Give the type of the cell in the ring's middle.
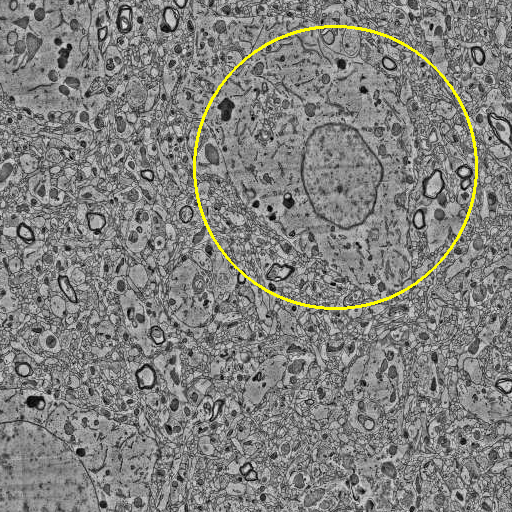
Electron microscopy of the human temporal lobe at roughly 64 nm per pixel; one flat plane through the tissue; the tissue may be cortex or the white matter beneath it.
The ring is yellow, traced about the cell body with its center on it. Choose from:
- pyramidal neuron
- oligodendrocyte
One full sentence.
Here, a pyramidal neuron is the cell lying at the center of the yellow ring.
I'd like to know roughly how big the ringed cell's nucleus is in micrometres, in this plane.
Approximately 7 micrometres long and 5 micrometres wide, in this plane.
